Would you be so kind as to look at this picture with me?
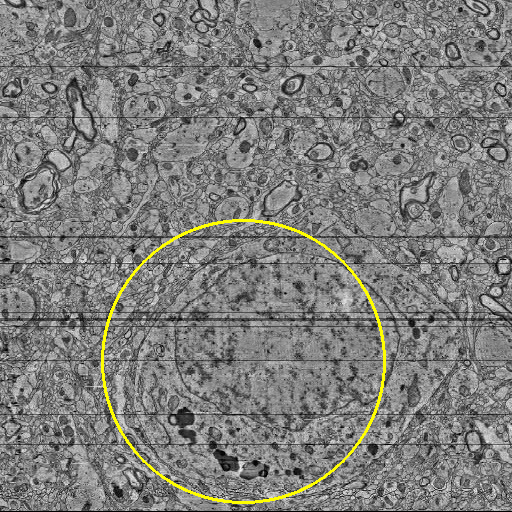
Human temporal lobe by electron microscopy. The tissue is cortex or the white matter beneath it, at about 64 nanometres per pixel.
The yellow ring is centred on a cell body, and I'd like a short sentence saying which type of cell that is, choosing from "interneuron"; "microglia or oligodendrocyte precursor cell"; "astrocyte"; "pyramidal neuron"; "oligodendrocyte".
The cell body in the ring belongs to a pyramidal neuron.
